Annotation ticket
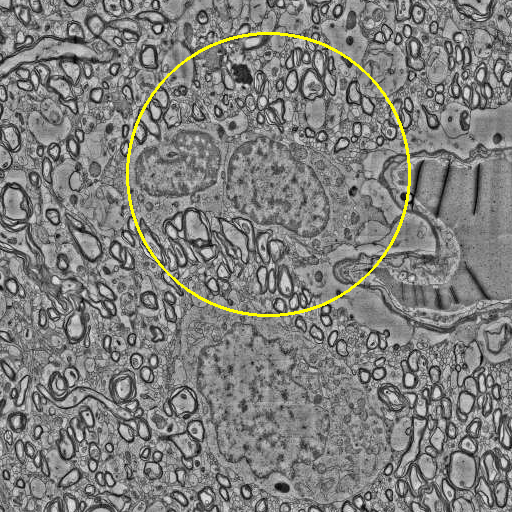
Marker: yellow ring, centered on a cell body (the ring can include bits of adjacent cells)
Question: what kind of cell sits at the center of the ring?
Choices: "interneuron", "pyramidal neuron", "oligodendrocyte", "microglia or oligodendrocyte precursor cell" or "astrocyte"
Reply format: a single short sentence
The ring is centered on an oligodendrocyte.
